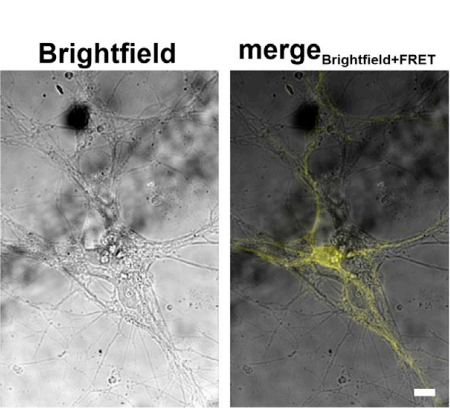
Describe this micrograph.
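Cultured neurons are seen in brightfield as a field of cell bodies and a dense meshwork of thin, interlacing processes on a mottled grey background. In the merged image one neuron is picked out in yellow, with a central cell body and several long branching processes that follow fibres visible in the brightfield view. Other cell bodies and fibres in the field are unlabelled, and a dark irregular particle lies near the top of the field.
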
